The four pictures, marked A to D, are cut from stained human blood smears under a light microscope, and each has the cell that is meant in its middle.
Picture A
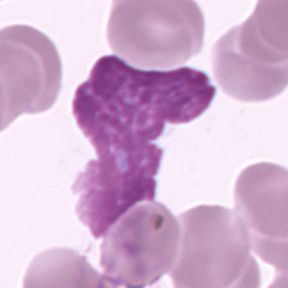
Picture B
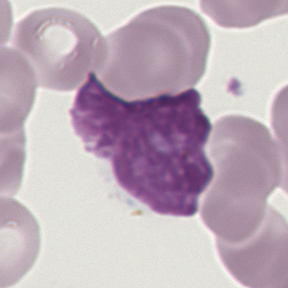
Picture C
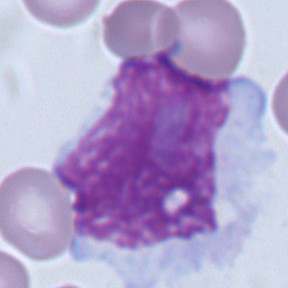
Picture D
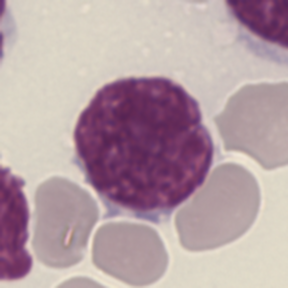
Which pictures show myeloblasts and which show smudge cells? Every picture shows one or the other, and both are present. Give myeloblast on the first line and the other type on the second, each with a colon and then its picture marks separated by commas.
myeloblast: C, D
smudge cell: A, B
